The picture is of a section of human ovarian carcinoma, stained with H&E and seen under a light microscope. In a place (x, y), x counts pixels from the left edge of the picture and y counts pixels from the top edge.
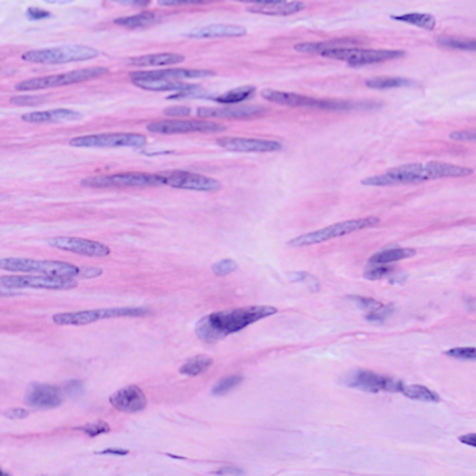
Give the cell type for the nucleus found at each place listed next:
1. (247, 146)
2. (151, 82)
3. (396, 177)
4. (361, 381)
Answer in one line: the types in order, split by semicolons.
smooth muscle cell; smooth muscle cell; smooth muscle cell; fibroblast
